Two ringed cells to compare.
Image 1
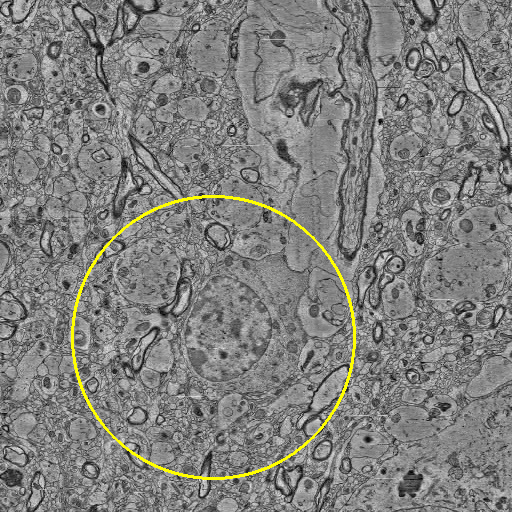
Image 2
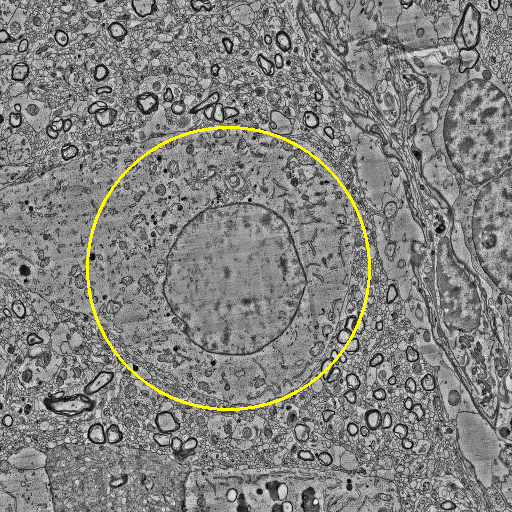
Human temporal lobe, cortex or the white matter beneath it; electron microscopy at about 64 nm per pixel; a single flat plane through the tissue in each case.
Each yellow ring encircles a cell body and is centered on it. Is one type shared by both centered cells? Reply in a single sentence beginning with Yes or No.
No, two types are found among the cells at the centers of the rings.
